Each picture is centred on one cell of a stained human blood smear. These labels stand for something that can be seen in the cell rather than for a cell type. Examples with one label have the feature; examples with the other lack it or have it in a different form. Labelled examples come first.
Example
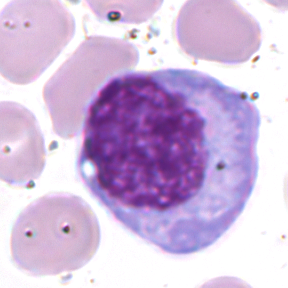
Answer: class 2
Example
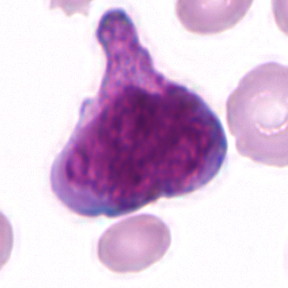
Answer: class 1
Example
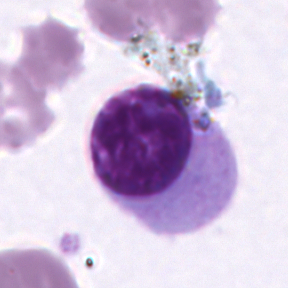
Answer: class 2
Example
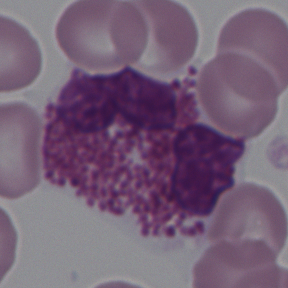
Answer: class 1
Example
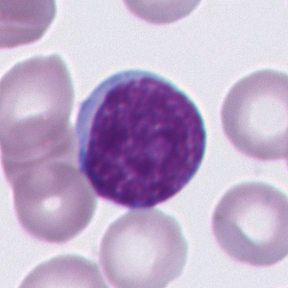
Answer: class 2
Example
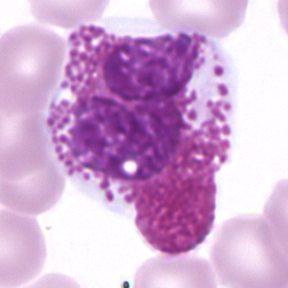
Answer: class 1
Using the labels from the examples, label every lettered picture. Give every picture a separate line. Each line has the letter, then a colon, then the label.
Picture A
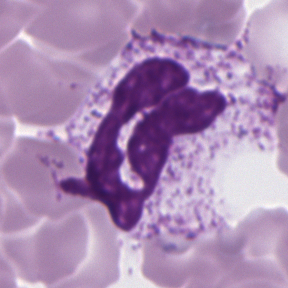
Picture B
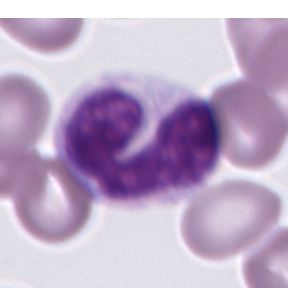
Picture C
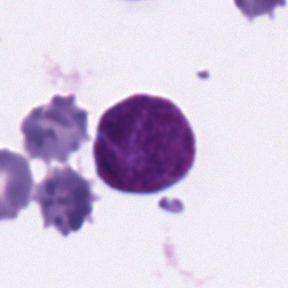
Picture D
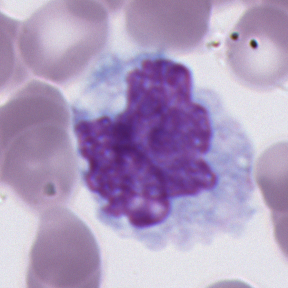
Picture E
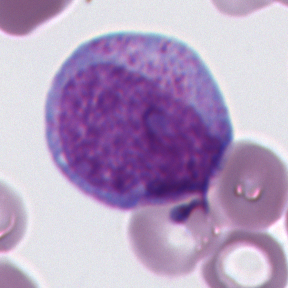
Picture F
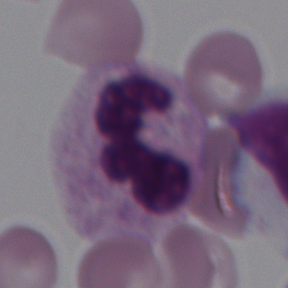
A: class 1
B: class 1
C: class 2
D: class 1
E: class 2
F: class 2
